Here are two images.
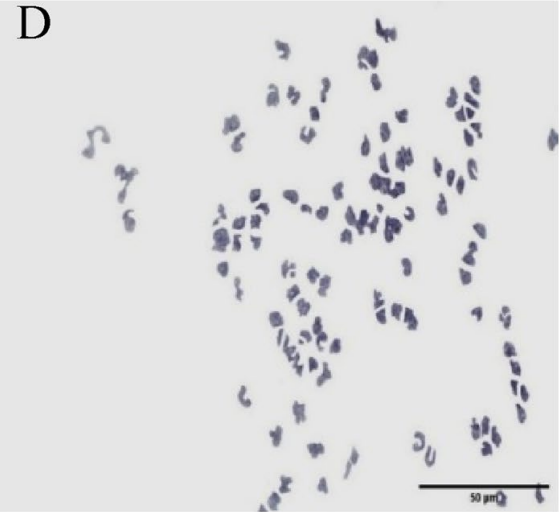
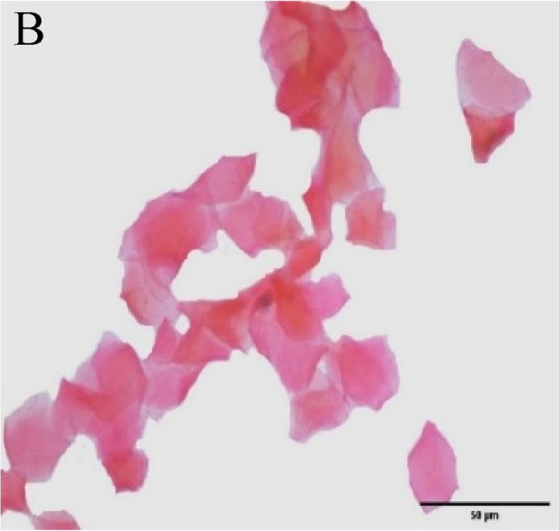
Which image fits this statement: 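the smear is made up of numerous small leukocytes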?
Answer: the first image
